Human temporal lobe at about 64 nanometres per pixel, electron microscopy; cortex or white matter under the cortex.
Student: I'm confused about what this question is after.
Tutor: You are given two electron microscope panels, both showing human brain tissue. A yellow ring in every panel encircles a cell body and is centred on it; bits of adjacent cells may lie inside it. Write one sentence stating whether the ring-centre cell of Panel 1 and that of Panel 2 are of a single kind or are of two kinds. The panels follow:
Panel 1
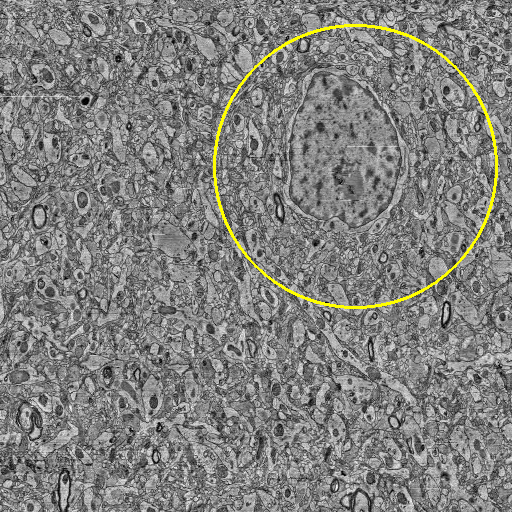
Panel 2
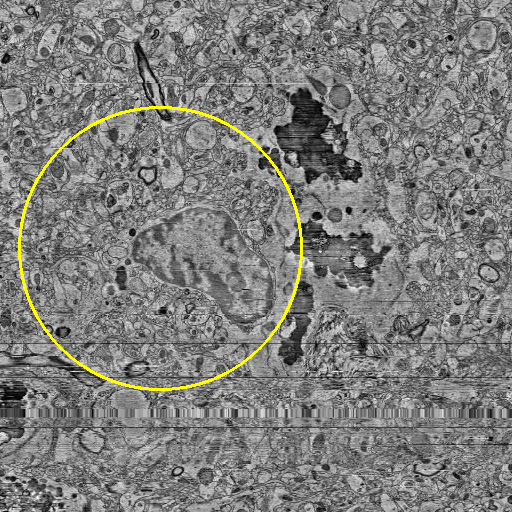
Here, the Panel 1 ring-centre cell and the Panel 2 ring-centre cell are of a single kind.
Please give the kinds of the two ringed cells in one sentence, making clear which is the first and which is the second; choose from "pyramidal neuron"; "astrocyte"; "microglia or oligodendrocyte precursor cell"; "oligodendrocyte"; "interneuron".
Each one of the two ringed cells is a microglial cell or oligodendrocyte precursor cell.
